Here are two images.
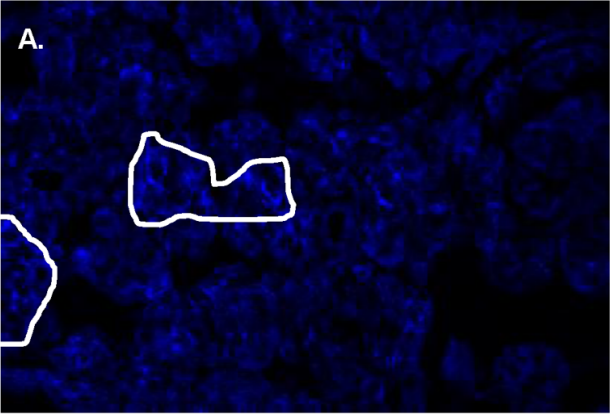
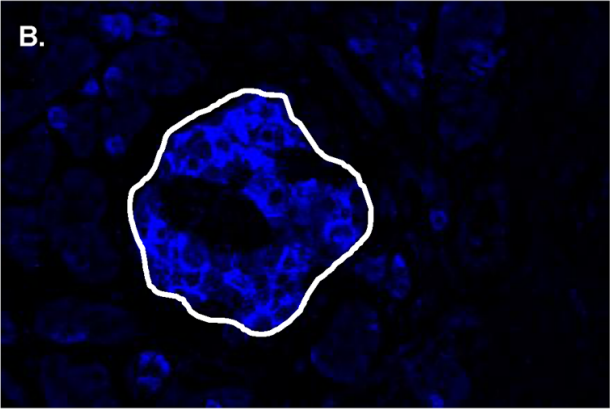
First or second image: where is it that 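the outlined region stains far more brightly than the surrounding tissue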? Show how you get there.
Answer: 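The second image. First image: the regions inside the white lines are about as dim blue as the tissue around them. Second image: the region inside the white line is bright blue against dim surrounding tissue.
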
